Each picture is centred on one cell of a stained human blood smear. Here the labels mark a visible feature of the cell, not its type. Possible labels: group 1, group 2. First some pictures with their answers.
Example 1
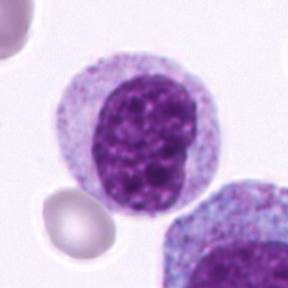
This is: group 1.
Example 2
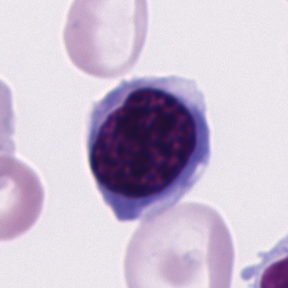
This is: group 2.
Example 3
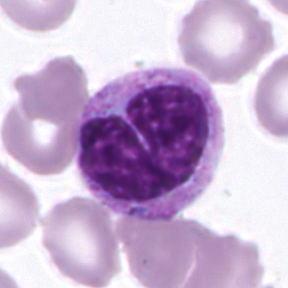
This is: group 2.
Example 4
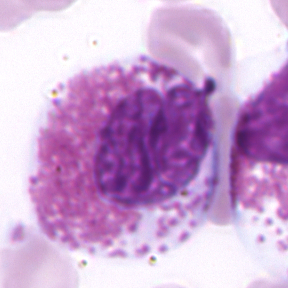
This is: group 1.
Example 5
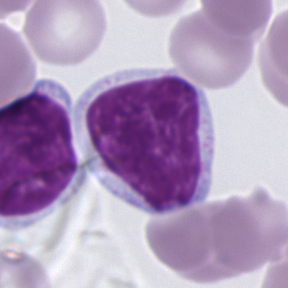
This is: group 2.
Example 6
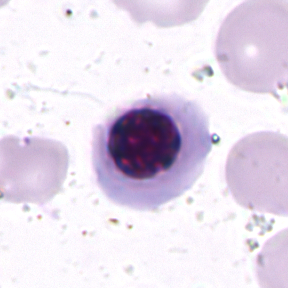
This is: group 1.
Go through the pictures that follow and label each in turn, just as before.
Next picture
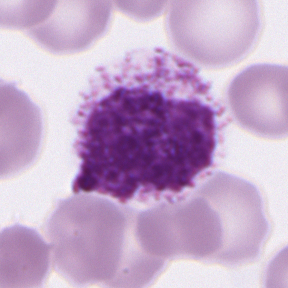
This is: group 2.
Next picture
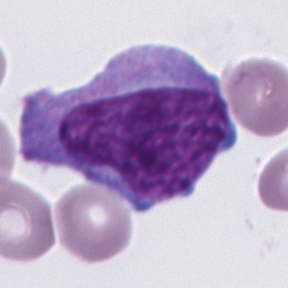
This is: group 1.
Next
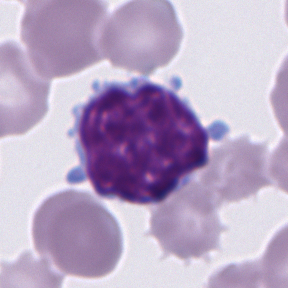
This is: group 2.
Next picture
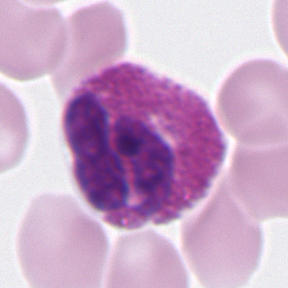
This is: group 1.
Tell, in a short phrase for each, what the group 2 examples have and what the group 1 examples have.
Seen in group 2: scant cytoplasm; seen in group 1: abundant cytoplasm.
